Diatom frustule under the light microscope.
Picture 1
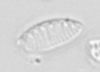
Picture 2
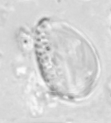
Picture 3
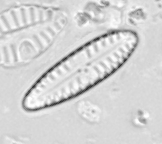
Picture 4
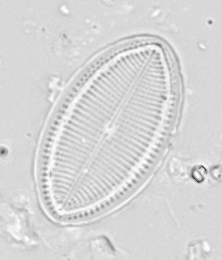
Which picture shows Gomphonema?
Picture 3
